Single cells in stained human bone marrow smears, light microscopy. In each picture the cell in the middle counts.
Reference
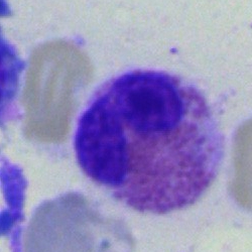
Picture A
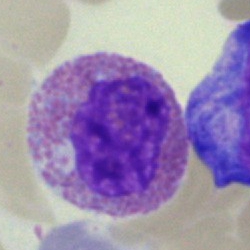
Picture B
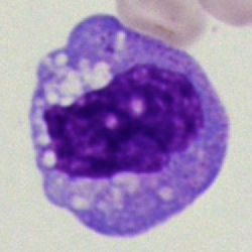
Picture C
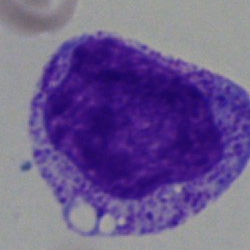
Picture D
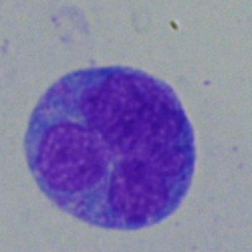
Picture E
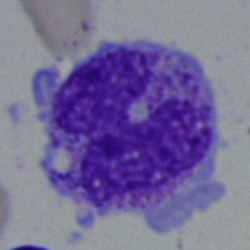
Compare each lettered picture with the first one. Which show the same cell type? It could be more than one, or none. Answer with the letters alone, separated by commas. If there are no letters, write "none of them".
A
